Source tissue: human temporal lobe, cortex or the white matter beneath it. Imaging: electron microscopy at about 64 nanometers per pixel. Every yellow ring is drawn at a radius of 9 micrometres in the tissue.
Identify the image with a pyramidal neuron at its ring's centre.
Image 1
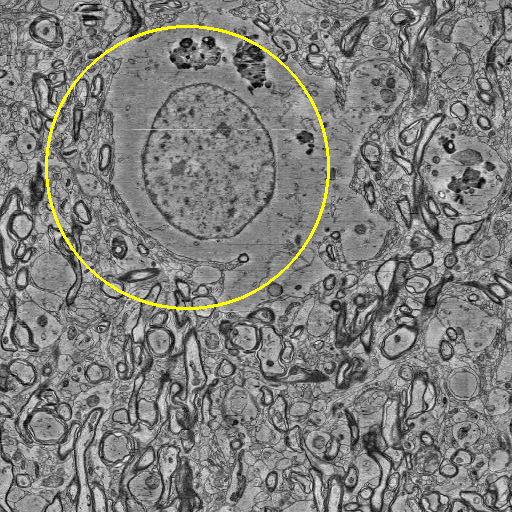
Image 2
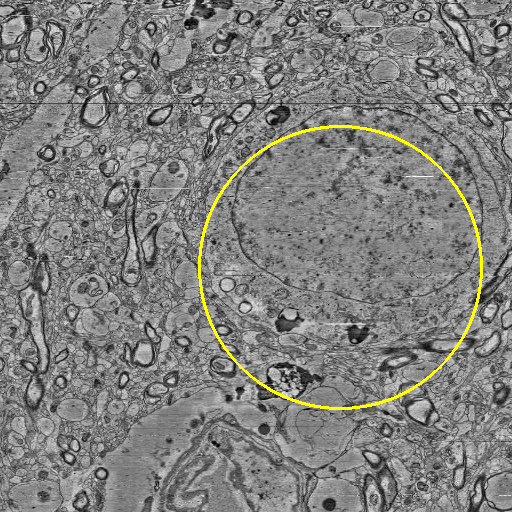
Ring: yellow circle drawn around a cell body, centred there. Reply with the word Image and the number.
Image 2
